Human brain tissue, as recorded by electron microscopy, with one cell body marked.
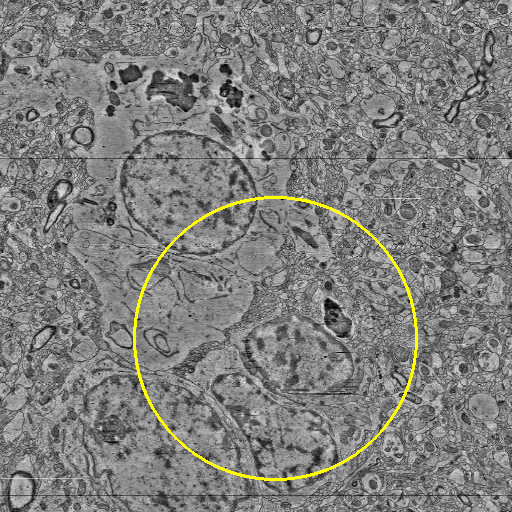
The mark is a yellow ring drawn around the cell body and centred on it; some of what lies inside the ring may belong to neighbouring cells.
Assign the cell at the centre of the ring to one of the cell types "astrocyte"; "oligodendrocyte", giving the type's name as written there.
oligodendrocyte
